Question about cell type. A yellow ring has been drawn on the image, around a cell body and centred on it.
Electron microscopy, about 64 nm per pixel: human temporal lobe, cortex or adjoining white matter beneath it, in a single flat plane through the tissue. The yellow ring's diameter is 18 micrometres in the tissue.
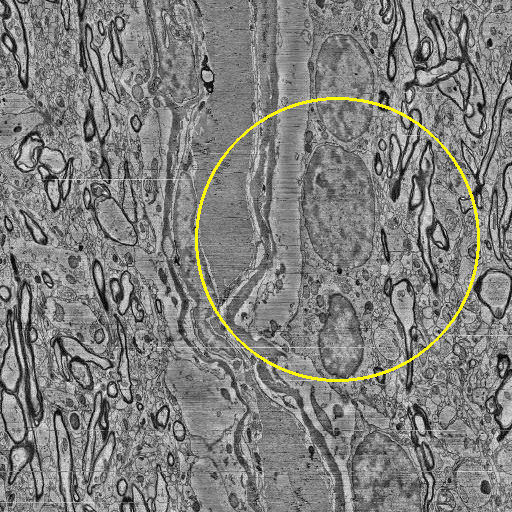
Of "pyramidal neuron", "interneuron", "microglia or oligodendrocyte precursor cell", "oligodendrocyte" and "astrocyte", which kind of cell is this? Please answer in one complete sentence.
At the centre of the ring lies an oligodendrocyte.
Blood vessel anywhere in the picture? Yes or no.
Yes.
